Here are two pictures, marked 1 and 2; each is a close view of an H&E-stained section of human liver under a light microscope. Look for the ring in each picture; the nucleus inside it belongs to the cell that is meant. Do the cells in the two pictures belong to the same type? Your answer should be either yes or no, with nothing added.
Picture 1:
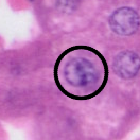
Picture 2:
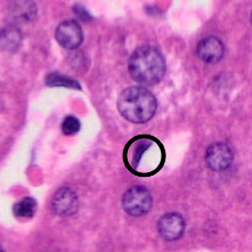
no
